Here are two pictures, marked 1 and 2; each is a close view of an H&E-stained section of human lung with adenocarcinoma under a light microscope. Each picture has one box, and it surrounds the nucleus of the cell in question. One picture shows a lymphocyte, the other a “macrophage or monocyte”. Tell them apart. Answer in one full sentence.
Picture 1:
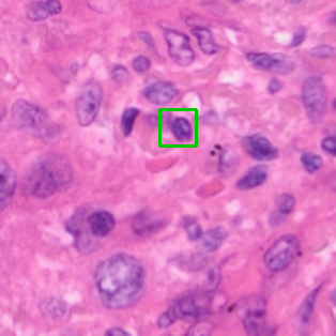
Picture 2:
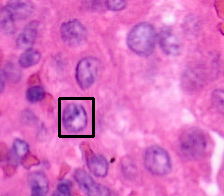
Picture 1 shows a lymphocyte and picture 2 shows a “macrophage or monocyte”.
